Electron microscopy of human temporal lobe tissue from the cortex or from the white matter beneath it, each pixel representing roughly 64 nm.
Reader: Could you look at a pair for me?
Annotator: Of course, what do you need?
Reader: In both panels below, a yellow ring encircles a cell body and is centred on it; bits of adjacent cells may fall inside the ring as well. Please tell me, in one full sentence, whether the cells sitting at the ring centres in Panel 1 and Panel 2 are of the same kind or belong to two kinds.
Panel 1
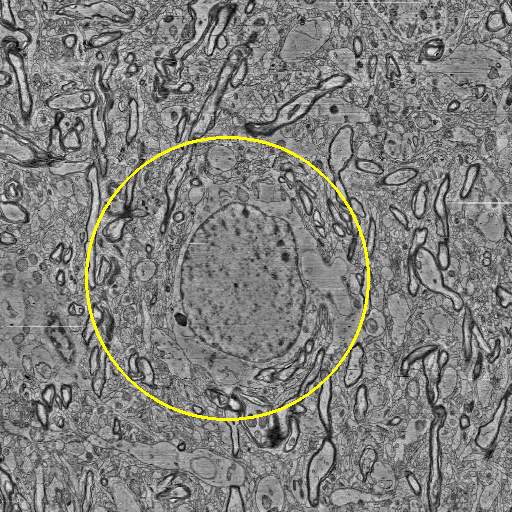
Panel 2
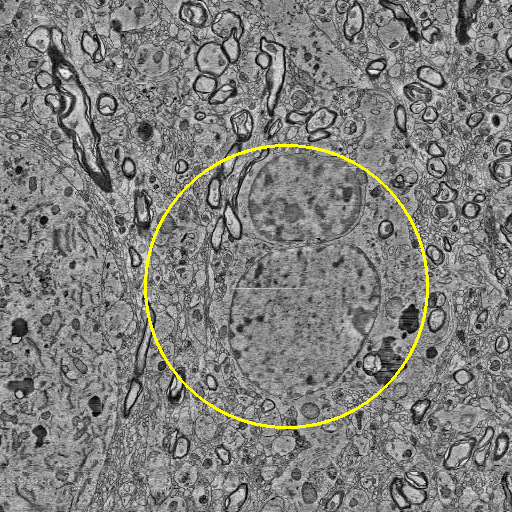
The cell at the ring's centre in Panel 1 and the one in Panel 2 are of the same kind.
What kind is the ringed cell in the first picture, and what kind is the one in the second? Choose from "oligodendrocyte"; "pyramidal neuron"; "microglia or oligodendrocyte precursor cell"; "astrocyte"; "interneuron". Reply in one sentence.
Each cell, in the first picture and the second, is an astrocyte.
